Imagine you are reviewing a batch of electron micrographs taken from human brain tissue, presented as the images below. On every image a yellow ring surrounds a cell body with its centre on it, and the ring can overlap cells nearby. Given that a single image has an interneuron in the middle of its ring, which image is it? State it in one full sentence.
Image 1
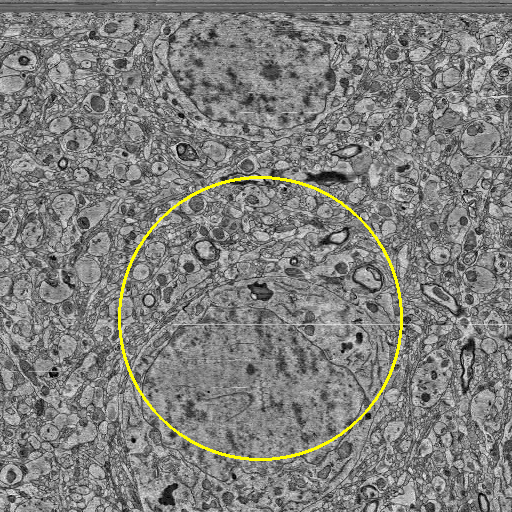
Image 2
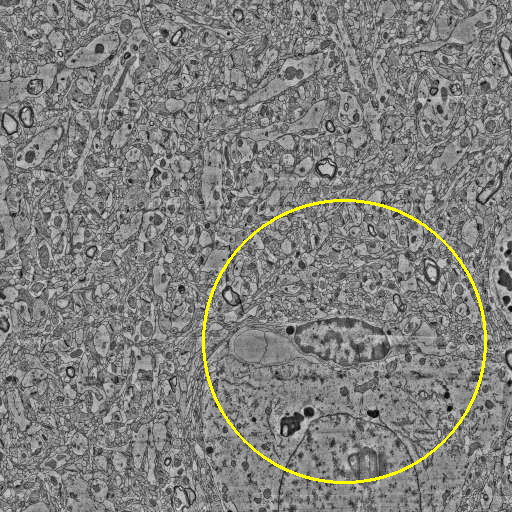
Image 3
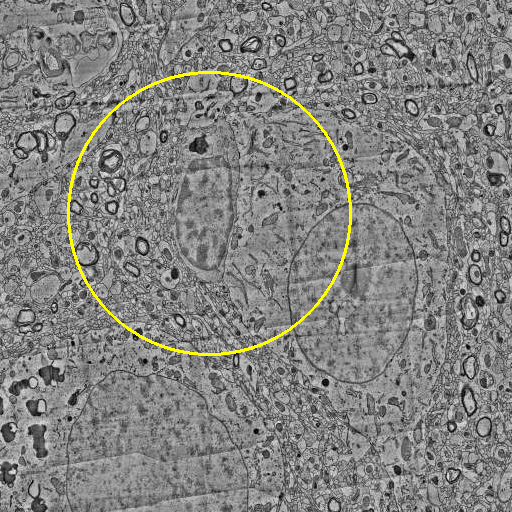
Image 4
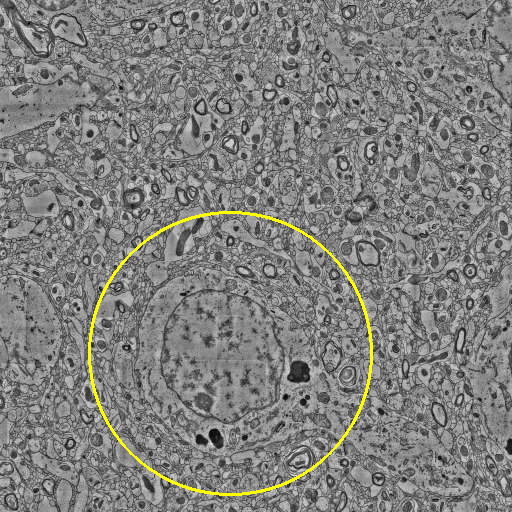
Of all the images, number 1 has the described cell at the centre of its ring.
